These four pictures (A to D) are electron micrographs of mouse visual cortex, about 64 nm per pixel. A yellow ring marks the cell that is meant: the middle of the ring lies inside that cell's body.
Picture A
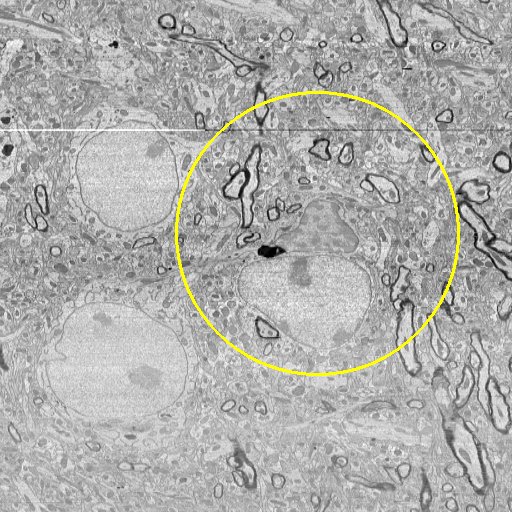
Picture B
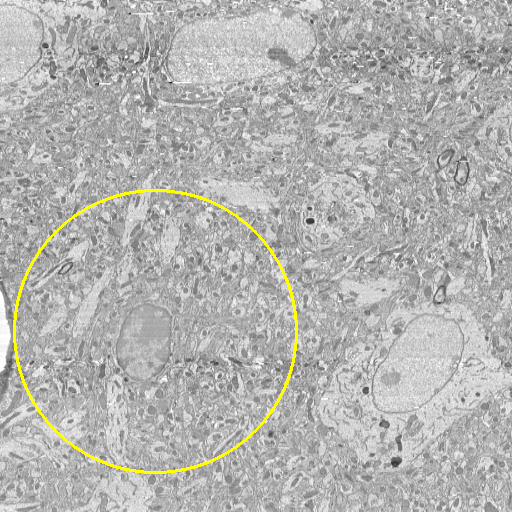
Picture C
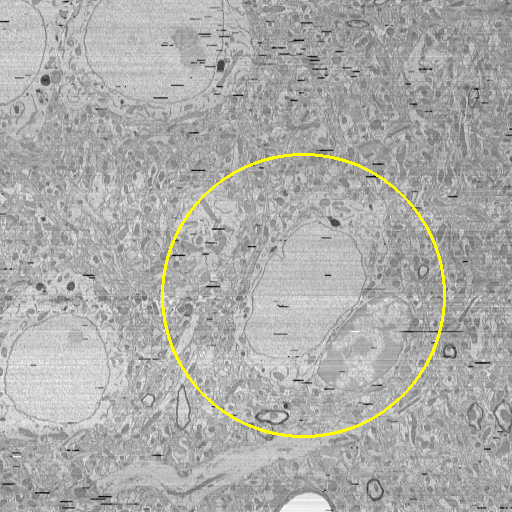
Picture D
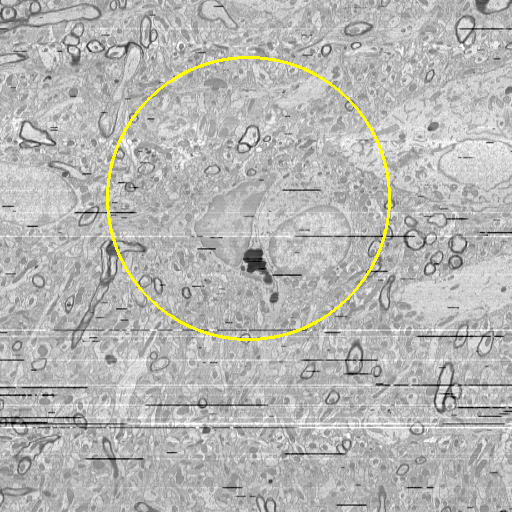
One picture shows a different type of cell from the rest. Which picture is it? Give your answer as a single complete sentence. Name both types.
Picture C is the odd one out: it shows an excitatory neuron, while the others show microglial cells.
